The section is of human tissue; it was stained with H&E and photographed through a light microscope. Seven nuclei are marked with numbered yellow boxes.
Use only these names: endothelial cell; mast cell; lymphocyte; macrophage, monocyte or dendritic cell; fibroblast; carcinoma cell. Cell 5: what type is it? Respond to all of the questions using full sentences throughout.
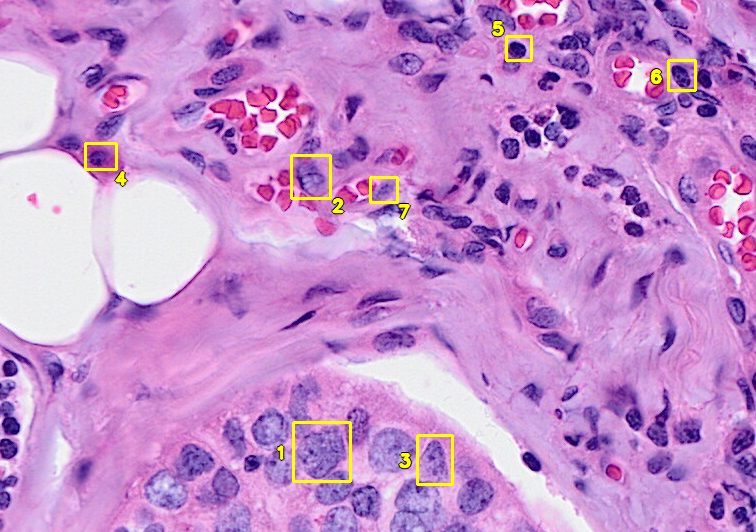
In the marked set, the cell given number 5 is a lymphocyte.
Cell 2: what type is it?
Cell 2, as marked in the section, is an endothelial cell.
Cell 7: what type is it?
The one numbered 7 among the marked cells is an endothelial cell.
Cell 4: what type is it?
The correct answer for cell 4 is a mast cell.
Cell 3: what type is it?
Cell 3, among those numbered, is a carcinoma cell.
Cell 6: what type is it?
The cell referred to as 6 is a lymphocyte.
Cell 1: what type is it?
Heads up, the cell numbered 1 is a carcinoma cell.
